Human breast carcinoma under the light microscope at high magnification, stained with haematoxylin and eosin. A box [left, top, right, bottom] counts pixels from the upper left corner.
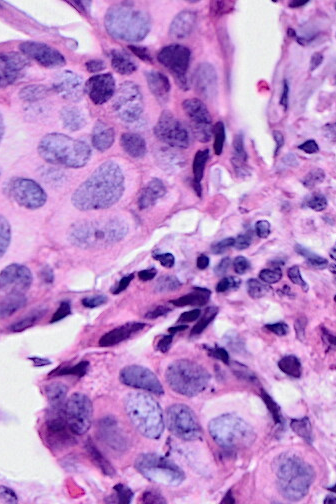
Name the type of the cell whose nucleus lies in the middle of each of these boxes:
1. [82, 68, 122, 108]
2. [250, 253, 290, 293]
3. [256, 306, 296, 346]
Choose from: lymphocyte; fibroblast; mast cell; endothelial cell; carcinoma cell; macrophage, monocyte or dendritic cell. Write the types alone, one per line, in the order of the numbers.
carcinoma cell
lymphocyte
lymphocyte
